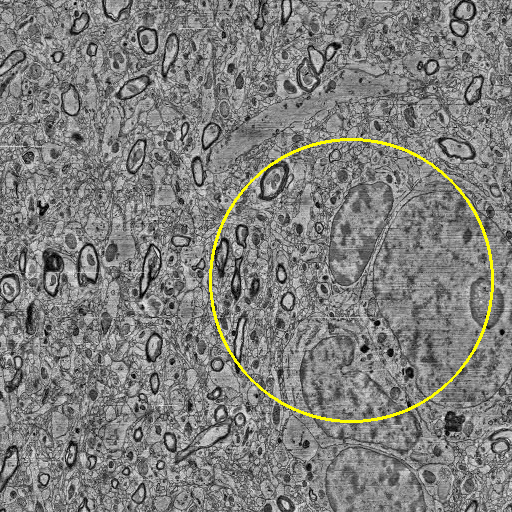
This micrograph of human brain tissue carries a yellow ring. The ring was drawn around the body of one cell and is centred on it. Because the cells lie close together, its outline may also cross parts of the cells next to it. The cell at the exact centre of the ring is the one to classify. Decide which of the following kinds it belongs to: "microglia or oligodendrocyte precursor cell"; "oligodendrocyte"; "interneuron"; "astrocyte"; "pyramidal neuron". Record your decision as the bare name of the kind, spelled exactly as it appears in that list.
microglia or oligodendrocyte precursor cell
